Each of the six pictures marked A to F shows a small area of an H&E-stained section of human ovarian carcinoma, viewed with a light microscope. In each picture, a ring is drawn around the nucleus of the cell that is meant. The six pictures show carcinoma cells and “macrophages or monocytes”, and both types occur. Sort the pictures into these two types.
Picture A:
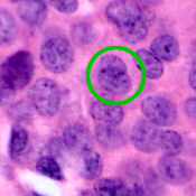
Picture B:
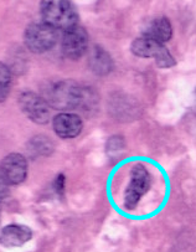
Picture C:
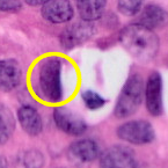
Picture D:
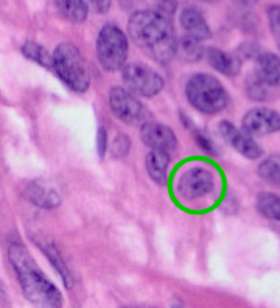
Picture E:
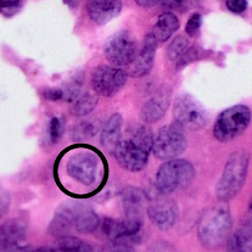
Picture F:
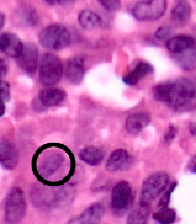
A: carcinoma cell
B: macrophage or monocyte
C: carcinoma cell
D: macrophage or monocyte
E: macrophage or monocyte
F: carcinoma cell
